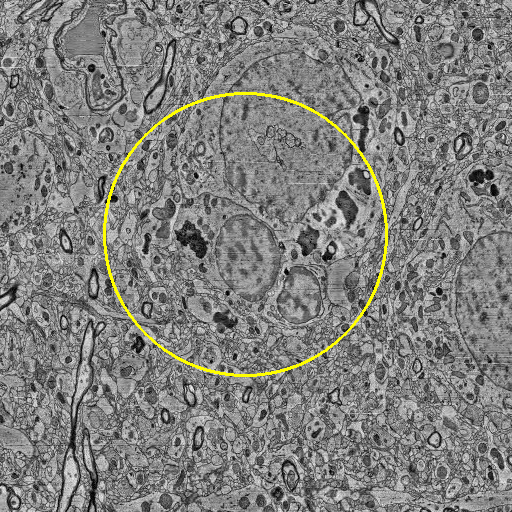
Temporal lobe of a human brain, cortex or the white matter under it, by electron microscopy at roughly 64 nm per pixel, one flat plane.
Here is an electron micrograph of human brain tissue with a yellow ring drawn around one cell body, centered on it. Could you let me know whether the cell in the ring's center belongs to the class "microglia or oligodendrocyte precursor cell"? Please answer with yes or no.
no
